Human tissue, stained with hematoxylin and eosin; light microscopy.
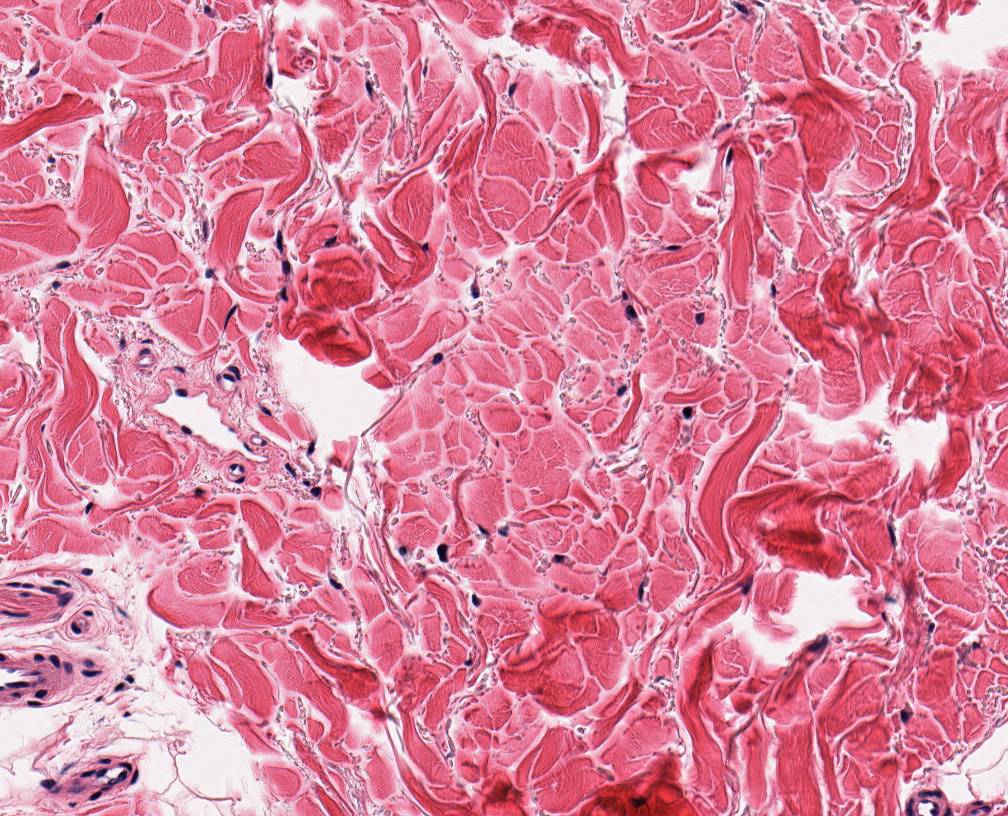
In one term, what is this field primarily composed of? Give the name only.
dermis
